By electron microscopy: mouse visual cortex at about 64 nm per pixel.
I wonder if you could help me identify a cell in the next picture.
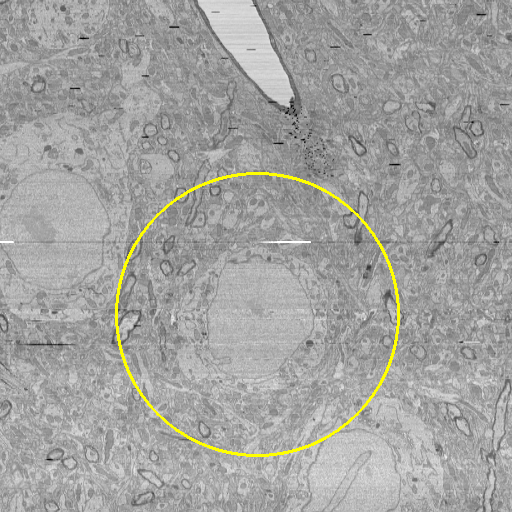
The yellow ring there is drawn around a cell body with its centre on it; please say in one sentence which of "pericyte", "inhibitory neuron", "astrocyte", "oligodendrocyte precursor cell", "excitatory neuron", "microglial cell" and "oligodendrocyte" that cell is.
The yellow ring is centred on an inhibitory neuron.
